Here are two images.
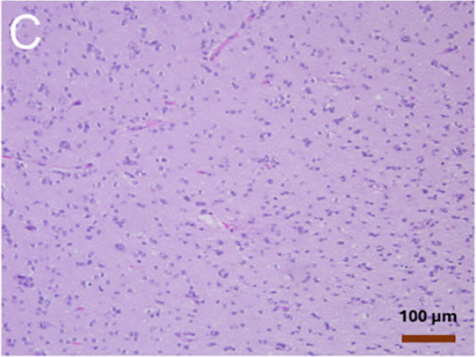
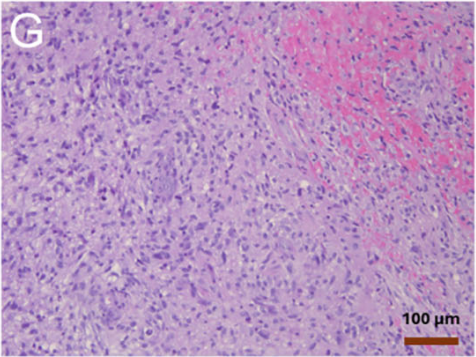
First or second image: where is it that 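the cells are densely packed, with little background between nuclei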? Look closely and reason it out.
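Second image: nuclei crowd the field with little pale matrix between them. First image: nuclei are sparse and widely spaced in pale pink fibrillary tissue.
Answer: the second image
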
